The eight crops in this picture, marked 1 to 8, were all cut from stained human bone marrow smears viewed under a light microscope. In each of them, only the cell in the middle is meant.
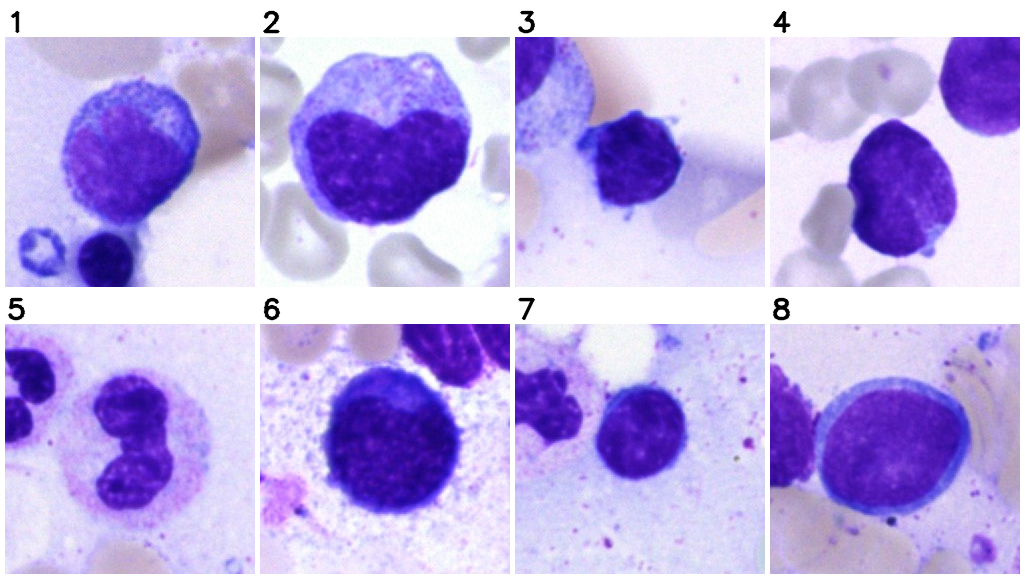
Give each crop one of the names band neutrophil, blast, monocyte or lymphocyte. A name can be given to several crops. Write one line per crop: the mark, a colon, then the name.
1: monocyte
2: monocyte
3: lymphocyte
4: blast
5: band neutrophil
6: blast
7: lymphocyte
8: blast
